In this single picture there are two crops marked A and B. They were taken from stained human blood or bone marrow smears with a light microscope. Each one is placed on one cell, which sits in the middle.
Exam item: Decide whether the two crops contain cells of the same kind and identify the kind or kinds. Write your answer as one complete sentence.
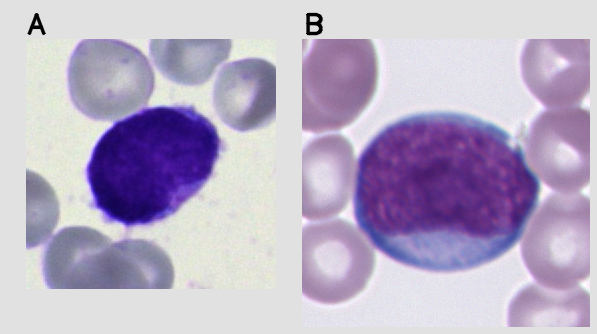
Yes, both crops show blasts, with no exception.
